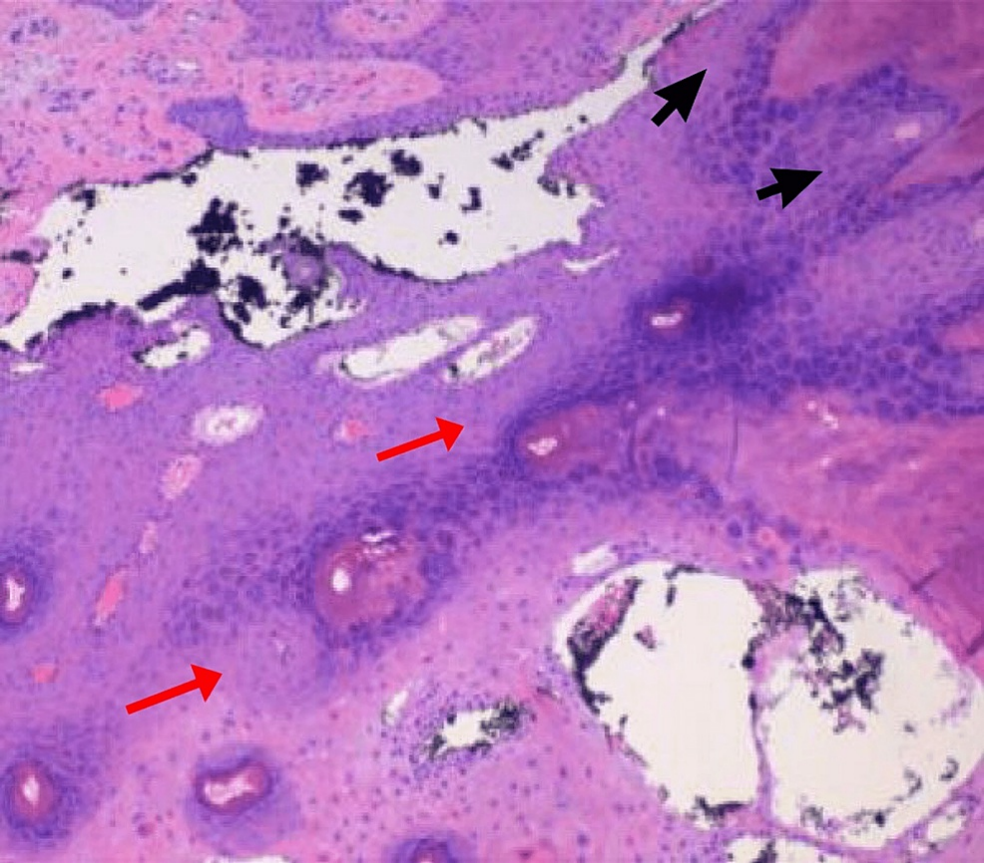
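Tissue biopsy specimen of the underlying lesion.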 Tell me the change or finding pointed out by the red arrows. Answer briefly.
thickening of the epidermis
